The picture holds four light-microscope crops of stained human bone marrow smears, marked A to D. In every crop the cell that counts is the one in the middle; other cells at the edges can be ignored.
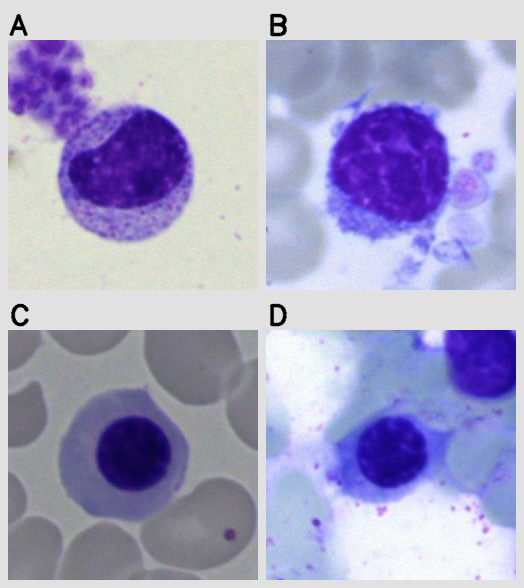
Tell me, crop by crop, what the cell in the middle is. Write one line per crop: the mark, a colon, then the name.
A: metamyelocyte
B: hairy cell
C: erythroblast
D: erythroblast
